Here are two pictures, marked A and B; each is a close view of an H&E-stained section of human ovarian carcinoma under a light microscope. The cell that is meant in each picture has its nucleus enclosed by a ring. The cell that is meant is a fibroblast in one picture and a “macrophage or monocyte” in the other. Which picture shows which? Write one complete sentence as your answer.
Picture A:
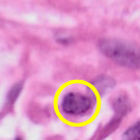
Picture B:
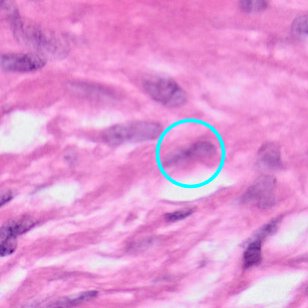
Picture A is of a “macrophage or monocyte”, and picture B is of a fibroblast.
